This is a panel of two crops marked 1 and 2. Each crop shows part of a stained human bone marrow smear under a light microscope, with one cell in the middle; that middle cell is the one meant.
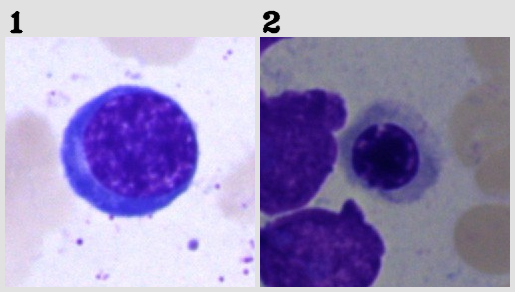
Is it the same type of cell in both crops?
yes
